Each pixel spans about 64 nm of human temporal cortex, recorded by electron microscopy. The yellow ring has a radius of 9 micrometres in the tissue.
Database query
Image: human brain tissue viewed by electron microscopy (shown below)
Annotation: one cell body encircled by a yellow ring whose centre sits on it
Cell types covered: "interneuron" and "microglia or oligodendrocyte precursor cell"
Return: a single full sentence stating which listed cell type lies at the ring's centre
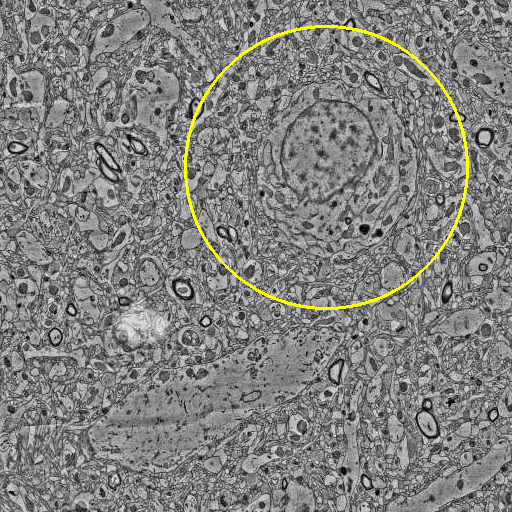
In the image, the cell lying at the ring's centre is an interneuron.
